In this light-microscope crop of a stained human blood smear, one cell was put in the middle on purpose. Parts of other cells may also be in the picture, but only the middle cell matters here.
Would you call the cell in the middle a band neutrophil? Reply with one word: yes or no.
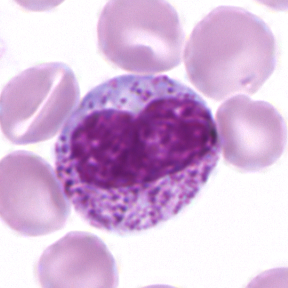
no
